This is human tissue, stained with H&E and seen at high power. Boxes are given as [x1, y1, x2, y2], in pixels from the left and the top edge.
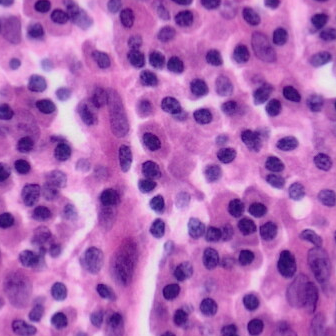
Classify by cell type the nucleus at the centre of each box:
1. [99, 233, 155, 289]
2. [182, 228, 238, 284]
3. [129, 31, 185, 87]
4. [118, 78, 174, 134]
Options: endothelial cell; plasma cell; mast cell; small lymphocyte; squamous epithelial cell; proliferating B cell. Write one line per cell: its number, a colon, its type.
1: squamous epithelial cell
2: plasma cell
3: plasma cell
4: plasma cell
